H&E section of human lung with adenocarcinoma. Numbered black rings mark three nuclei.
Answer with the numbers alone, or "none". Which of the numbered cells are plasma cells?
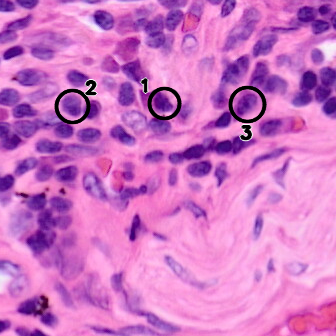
1, 3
